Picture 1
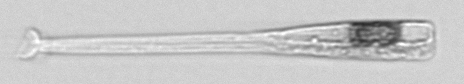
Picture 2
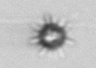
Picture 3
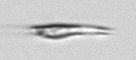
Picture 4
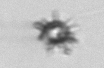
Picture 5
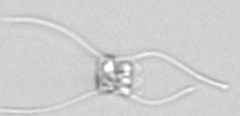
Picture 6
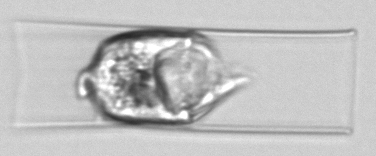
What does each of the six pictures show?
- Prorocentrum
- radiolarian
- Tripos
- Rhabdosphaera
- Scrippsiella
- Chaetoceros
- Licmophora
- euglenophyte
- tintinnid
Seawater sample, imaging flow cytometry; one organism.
Picture 1: Licmophora
Picture 2: Rhabdosphaera
Picture 3: euglenophyte
Picture 4: Rhabdosphaera
Picture 5: Chaetoceros
Picture 6: tintinnid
